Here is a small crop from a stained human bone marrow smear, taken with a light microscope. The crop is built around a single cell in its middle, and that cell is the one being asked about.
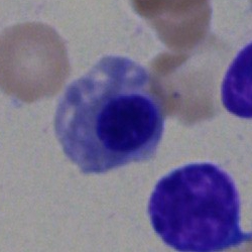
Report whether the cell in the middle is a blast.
no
